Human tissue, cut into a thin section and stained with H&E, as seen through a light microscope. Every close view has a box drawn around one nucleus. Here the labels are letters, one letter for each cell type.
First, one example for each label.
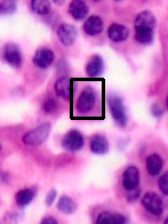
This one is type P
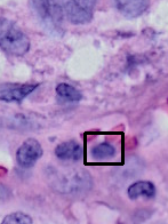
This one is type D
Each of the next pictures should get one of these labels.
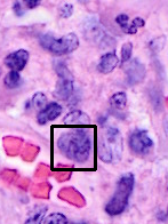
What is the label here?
type D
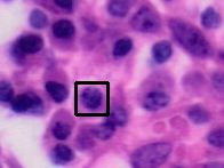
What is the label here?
type P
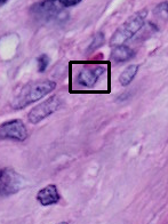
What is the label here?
type D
